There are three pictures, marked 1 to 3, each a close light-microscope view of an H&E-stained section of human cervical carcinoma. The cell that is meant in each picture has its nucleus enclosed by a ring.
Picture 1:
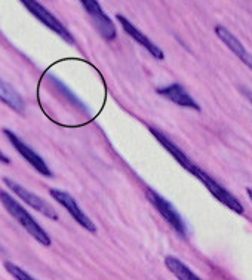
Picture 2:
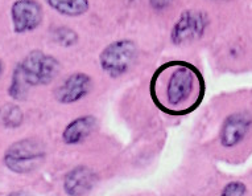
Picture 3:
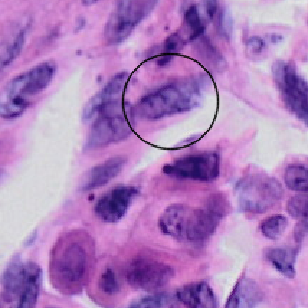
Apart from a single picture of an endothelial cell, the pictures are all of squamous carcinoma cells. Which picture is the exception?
1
